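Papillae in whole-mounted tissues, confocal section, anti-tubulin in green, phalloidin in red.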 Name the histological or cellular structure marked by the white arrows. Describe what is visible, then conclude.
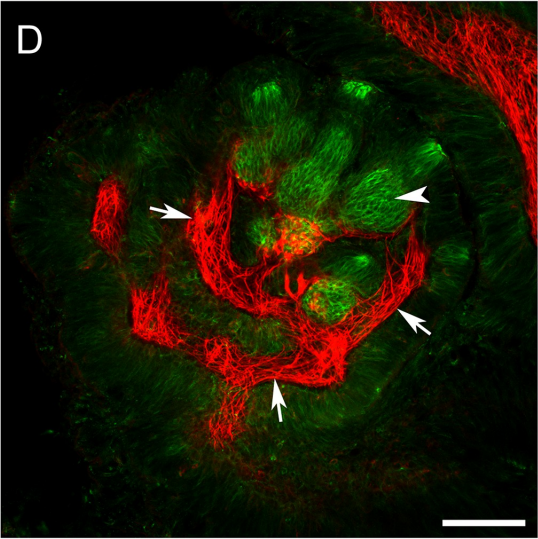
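Bright red bands of thin interlaced fibres. The red bands form a loop around the green tufts.
Conclusion: muscle fibers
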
